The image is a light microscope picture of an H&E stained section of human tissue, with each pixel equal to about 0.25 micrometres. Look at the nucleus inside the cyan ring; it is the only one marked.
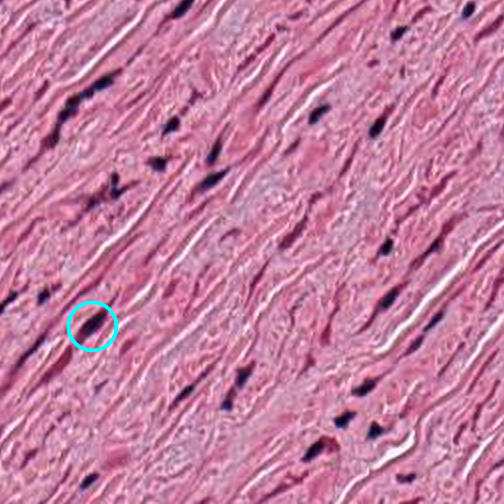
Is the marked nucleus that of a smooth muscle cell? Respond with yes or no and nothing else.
yes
